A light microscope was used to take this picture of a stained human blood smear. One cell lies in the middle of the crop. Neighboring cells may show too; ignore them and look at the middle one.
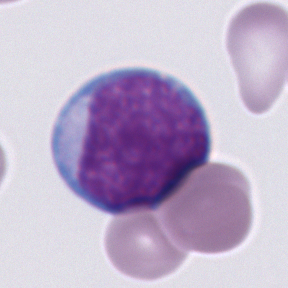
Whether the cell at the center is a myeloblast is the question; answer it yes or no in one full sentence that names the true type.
Yes, the cell of interest in the middle is a myeloblast.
